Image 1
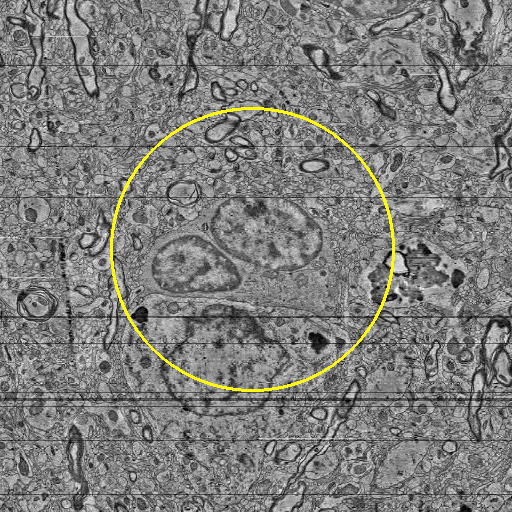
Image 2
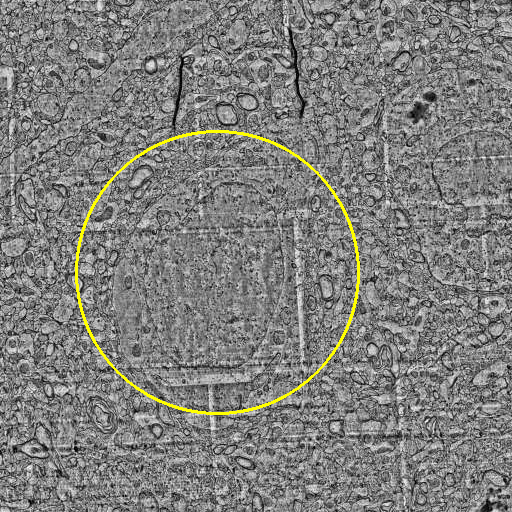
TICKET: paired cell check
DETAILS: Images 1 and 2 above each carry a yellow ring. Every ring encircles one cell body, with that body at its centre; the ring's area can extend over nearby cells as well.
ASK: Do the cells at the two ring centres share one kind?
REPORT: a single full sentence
No, the ring-centre cells of Images 1 and 2 belong to two kinds.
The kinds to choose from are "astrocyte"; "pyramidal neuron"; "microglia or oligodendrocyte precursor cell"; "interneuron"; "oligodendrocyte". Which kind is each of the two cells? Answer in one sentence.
Of the two, the first cell is an oligodendrocyte and the second cell is a pyramidal neuron.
